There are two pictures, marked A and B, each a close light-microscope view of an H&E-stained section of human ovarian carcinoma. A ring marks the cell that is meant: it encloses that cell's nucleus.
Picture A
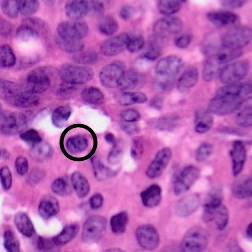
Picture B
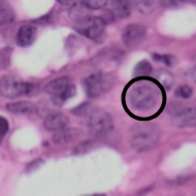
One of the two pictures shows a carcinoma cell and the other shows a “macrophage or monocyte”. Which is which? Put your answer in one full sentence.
Picture B shows a carcinoma cell, while picture A shows a “macrophage or monocyte”.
